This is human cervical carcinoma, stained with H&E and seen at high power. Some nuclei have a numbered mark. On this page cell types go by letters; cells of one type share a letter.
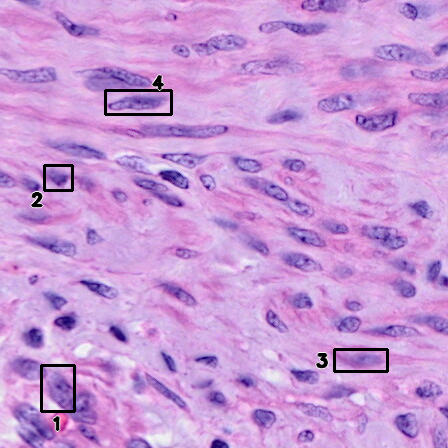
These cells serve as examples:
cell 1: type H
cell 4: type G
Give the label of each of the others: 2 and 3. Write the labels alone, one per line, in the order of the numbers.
type G
type G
